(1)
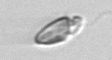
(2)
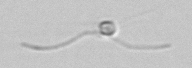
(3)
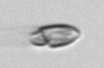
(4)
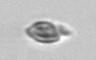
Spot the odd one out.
Picture 2 (Ophiaster among Kapelodinium).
